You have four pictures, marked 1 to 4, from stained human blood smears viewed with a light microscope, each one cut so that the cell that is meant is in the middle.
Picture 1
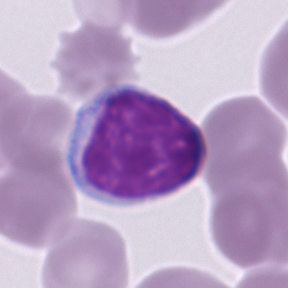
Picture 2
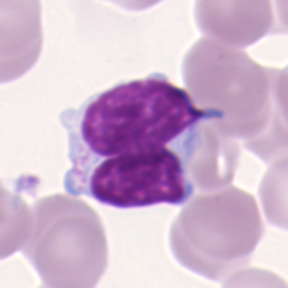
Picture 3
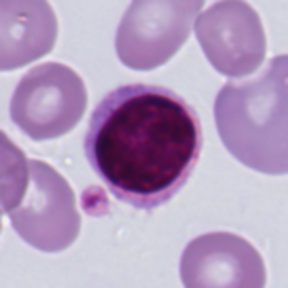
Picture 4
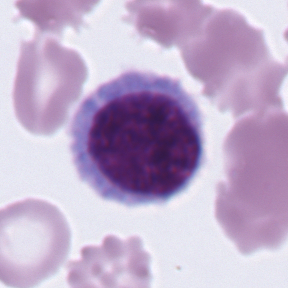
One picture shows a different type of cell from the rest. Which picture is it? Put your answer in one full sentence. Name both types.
Picture 4 differs, because its cell is a hairy cell and the rest are large granular lymphocytes.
